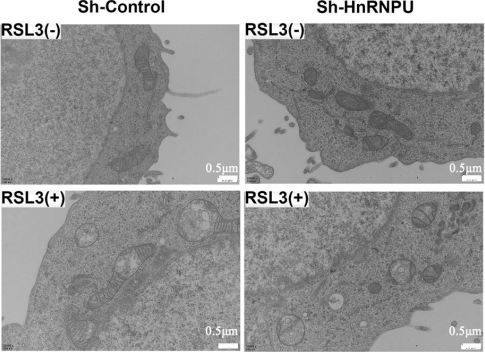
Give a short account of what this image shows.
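Four ultrastructural fields of cultured cells each show a stretch of cell edge with the plasma membrane bordering an empty background and finely granular cytoplasm beside it. Within the cytoplasm lie several oval to rounded mitochondria with double membranes and inner folded cristae. In the lower two fields the mitochondria appear more rounded, with fewer, less regular cristae and paler matrix than those in the upper fields.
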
